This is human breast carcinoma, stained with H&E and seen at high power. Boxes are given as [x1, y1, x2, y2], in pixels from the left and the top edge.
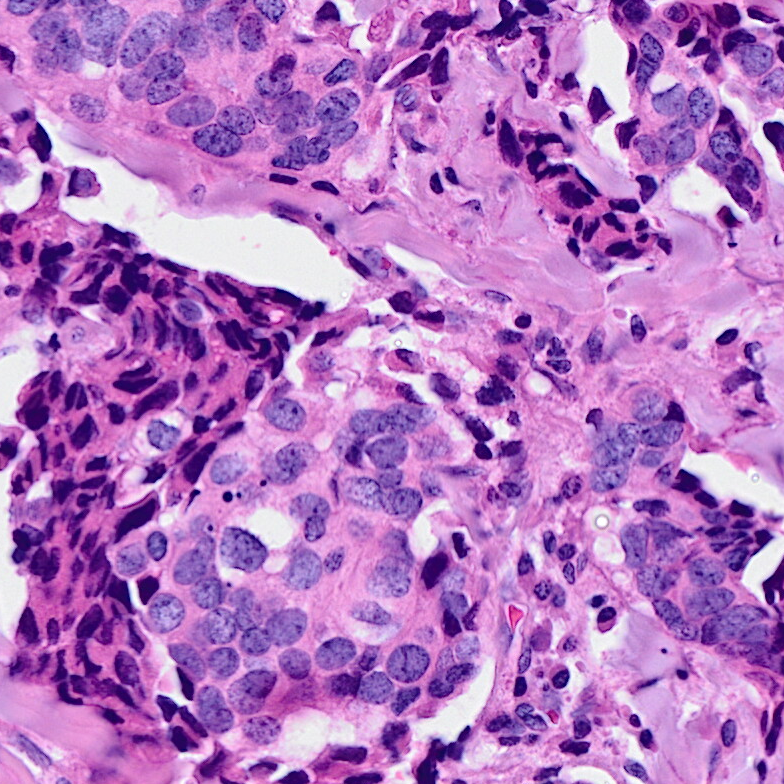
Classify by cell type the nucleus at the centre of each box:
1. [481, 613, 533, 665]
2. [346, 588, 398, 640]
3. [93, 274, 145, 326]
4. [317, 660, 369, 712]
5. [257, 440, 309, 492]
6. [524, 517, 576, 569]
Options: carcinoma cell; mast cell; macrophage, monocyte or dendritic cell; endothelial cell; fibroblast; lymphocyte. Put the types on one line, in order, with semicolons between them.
endothelial cell; carcinoma cell; carcinoma cell; carcinoma cell; carcinoma cell; lymphocyte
